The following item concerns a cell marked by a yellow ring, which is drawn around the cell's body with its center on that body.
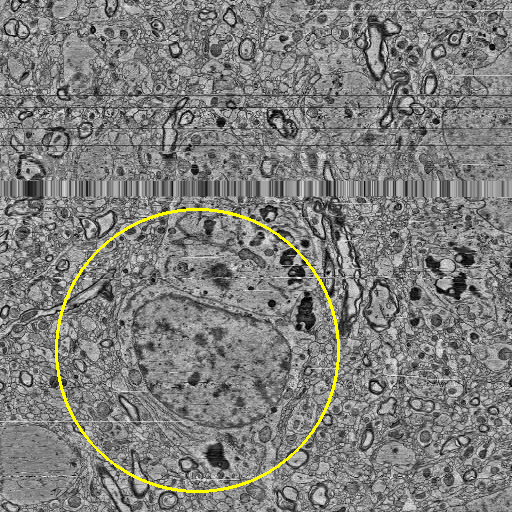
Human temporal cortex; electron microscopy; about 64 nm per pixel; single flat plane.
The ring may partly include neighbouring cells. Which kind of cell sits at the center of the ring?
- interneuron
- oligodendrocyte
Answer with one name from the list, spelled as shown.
interneuron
